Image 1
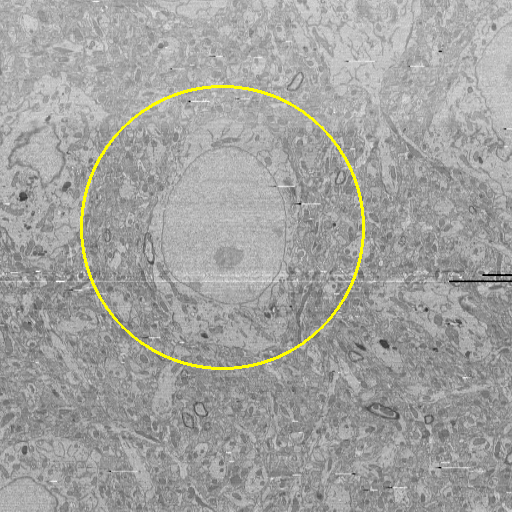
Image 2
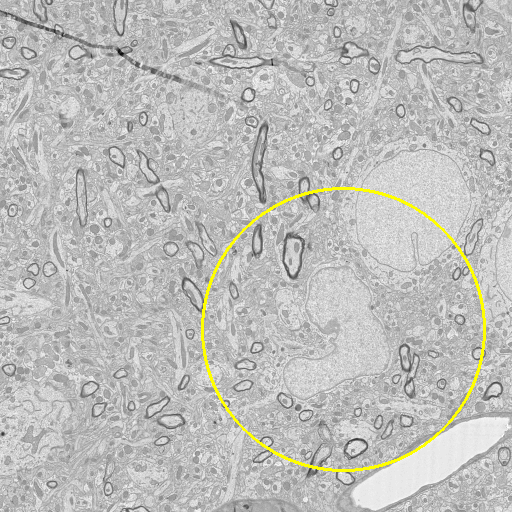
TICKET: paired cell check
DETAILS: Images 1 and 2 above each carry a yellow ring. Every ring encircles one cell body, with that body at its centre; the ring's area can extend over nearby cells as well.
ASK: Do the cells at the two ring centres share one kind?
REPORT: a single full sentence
No, the ring-centre cells of Images 1 and 2 belong to two kinds.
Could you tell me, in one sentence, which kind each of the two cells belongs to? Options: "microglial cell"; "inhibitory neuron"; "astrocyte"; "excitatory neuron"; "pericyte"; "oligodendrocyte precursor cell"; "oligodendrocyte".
At the centre of the first ring sits an excitatory neuron, and at the centre of the second sits an oligodendrocyte precursor cell.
